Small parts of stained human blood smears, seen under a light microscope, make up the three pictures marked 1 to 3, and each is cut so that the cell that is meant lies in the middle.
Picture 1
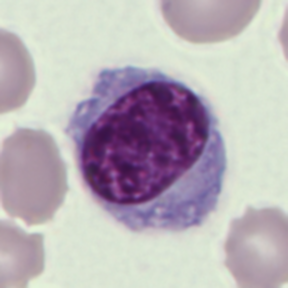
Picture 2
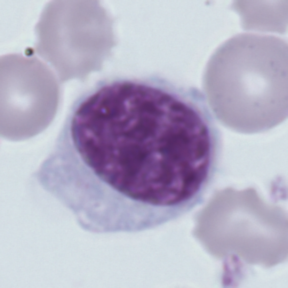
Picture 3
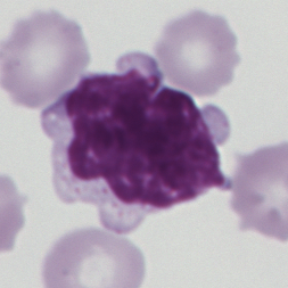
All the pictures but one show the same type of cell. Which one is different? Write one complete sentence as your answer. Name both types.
The others show plasma cells, but picture 3 shows a large granular lymphocyte.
